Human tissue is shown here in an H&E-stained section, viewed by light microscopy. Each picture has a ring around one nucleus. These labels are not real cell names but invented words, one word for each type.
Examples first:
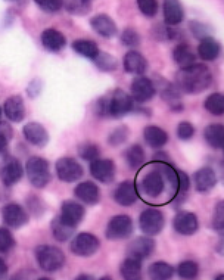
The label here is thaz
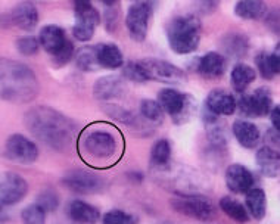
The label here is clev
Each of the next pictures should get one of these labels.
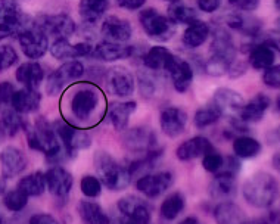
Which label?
thaz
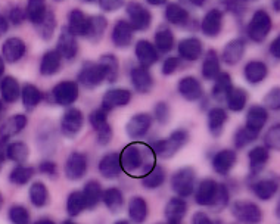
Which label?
thaz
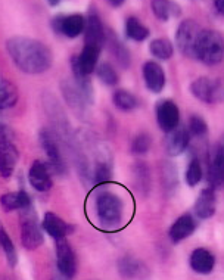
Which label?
clev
